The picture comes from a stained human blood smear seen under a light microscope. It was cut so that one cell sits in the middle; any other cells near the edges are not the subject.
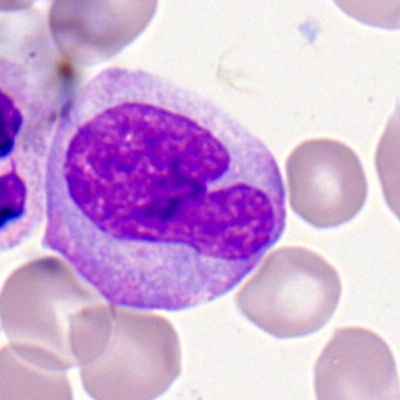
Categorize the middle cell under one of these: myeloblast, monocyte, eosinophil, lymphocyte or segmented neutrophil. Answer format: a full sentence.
The crop's centre is taken up by a monocyte.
